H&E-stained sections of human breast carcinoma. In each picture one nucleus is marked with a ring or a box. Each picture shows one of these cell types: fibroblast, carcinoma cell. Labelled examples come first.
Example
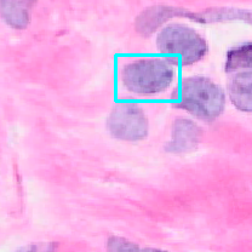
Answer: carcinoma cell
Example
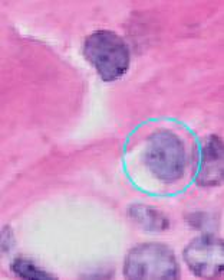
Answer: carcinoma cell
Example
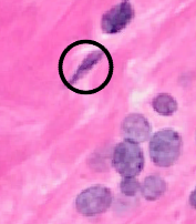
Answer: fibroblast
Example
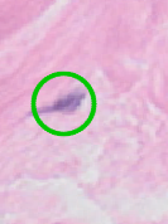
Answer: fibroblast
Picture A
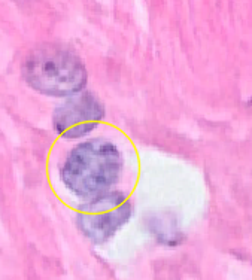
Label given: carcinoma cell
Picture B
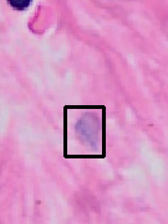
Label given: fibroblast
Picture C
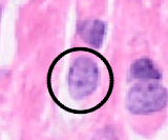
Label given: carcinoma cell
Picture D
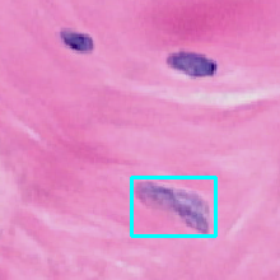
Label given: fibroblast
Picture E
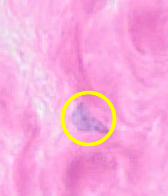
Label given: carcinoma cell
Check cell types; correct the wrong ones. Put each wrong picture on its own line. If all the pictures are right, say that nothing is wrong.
E: fibroblast, not carcinoma cell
